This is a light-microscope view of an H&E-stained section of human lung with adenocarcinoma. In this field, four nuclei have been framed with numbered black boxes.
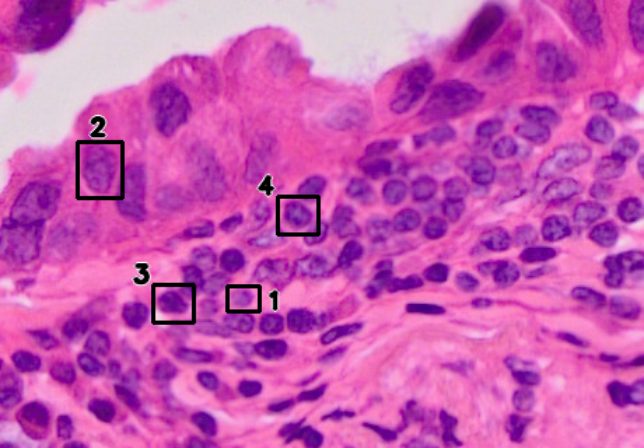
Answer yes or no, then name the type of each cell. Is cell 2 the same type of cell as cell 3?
No, cell 2 is a carcinoma cell; as for cell 3, that one is a lymphocyte.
